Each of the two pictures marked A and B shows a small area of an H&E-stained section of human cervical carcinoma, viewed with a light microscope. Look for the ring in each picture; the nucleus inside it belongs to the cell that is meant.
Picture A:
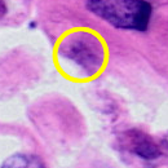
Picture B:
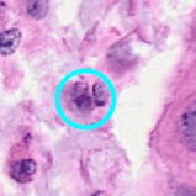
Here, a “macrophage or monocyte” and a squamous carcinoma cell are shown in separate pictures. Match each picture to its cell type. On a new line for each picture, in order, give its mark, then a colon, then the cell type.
A: squamous carcinoma cell
B: macrophage or monocyte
